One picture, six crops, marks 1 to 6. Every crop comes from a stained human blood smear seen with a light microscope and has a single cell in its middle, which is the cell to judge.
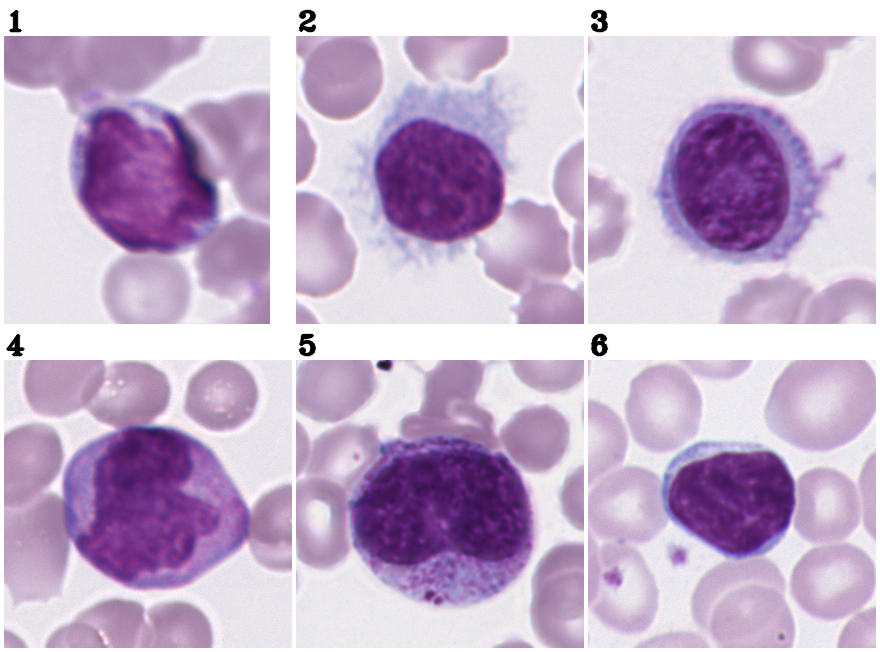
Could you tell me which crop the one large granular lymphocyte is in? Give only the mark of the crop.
1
